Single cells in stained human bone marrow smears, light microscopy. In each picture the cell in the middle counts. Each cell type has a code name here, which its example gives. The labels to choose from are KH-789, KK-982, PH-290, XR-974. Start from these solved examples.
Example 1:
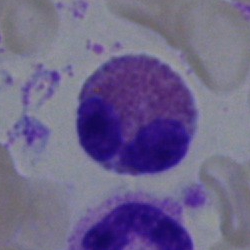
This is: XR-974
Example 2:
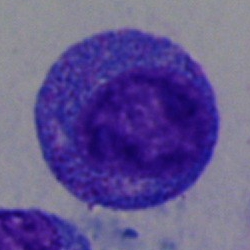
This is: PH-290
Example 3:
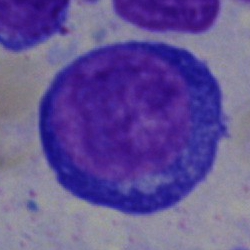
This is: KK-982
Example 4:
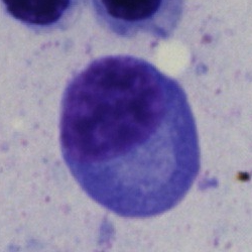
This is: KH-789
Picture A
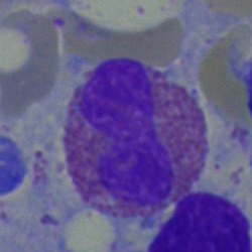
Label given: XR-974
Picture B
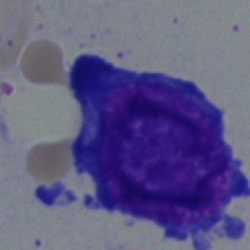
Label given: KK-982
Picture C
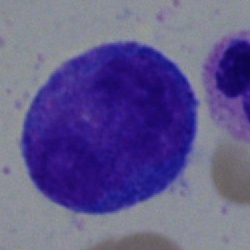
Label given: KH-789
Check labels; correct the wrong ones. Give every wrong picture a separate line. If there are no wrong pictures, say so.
C should be PH-290, not KH-789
